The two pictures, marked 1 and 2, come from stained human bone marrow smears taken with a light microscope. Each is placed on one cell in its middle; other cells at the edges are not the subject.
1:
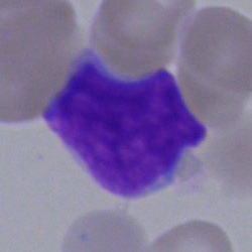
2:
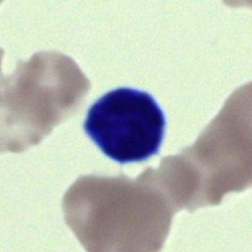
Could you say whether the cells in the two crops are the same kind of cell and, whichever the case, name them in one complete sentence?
No, crop 2 shows a lymphocyte, and crop 1 shows a blast.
